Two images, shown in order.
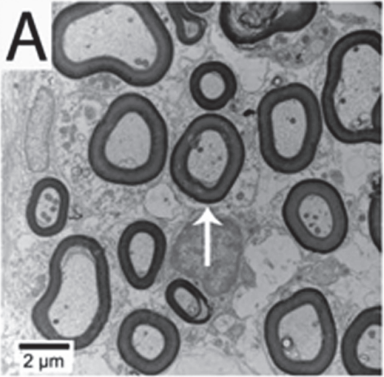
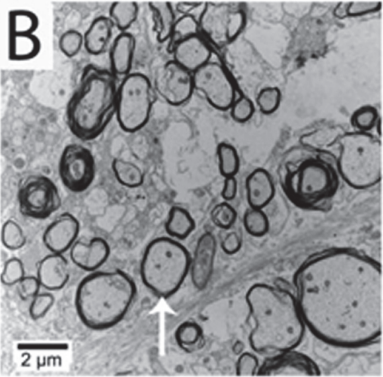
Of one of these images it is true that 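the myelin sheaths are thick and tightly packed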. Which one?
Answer: The first image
